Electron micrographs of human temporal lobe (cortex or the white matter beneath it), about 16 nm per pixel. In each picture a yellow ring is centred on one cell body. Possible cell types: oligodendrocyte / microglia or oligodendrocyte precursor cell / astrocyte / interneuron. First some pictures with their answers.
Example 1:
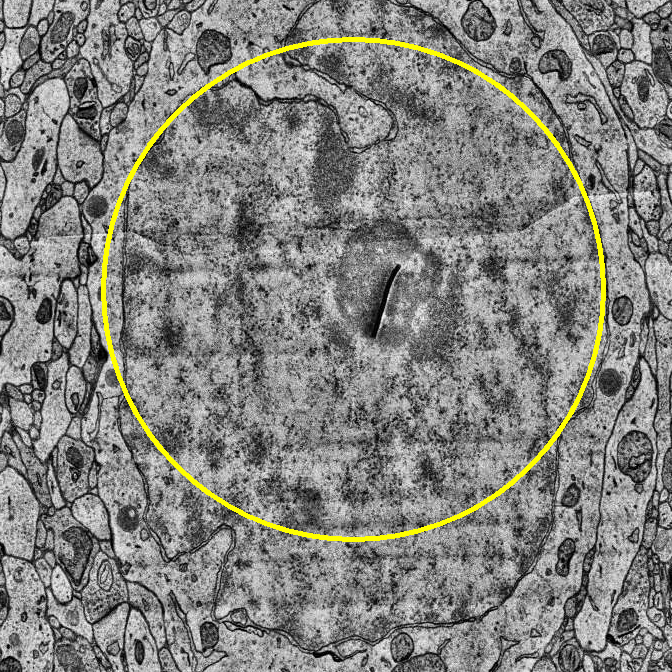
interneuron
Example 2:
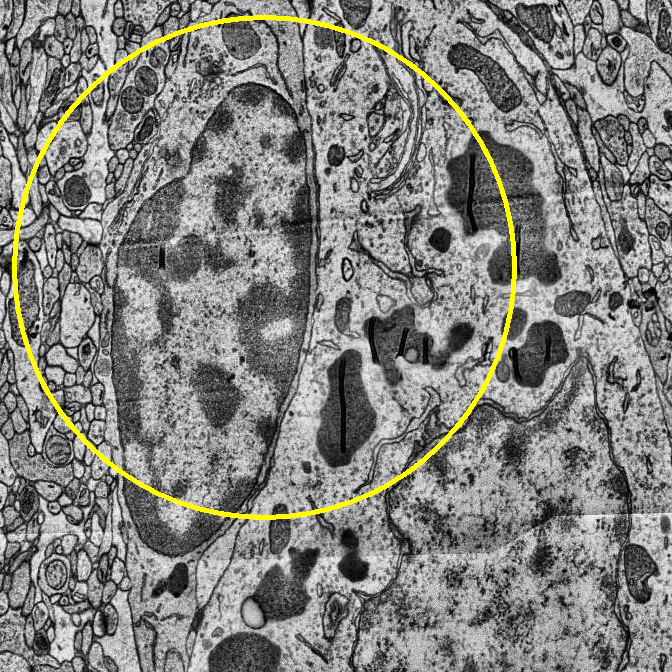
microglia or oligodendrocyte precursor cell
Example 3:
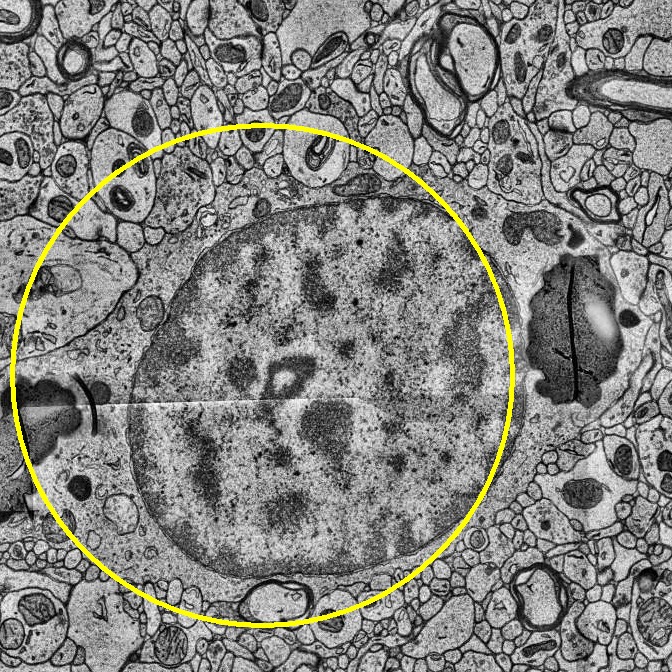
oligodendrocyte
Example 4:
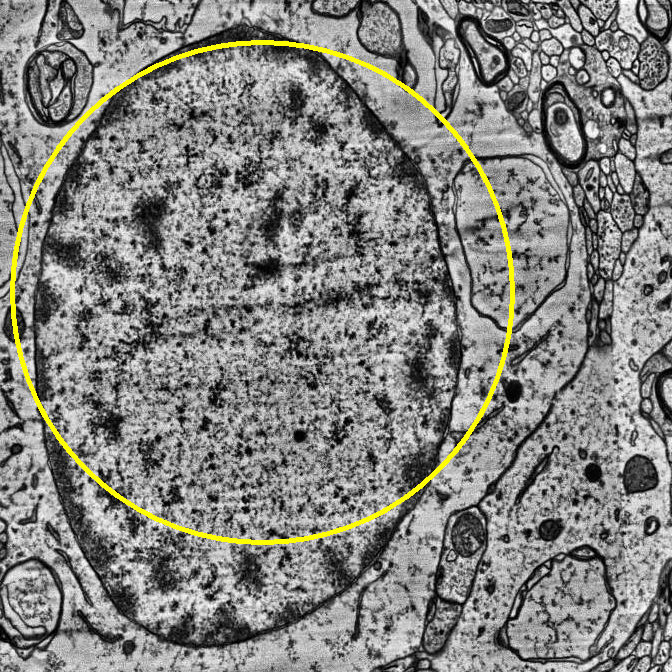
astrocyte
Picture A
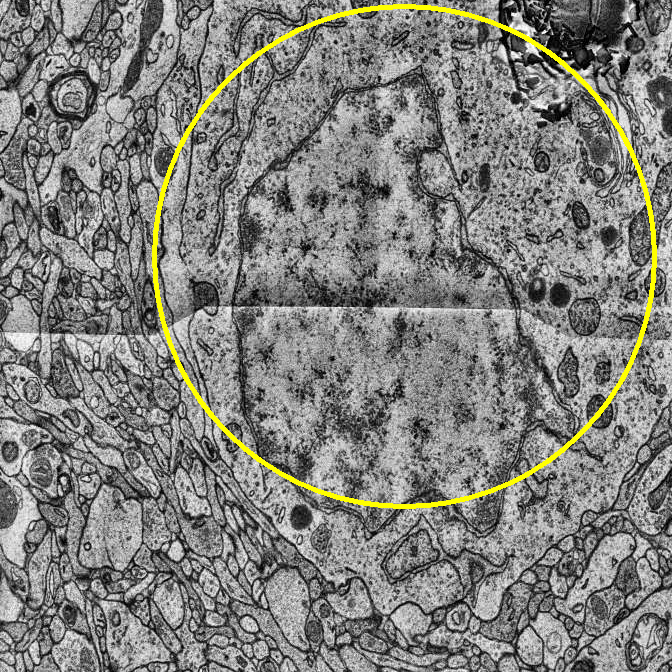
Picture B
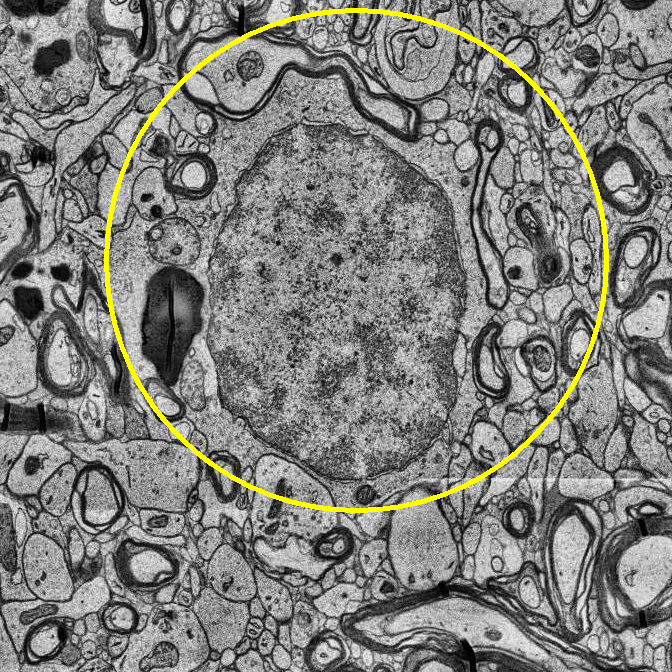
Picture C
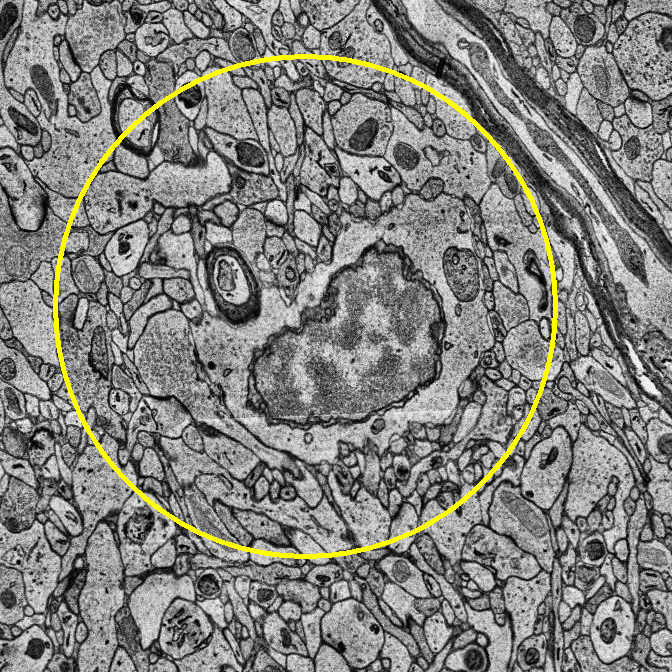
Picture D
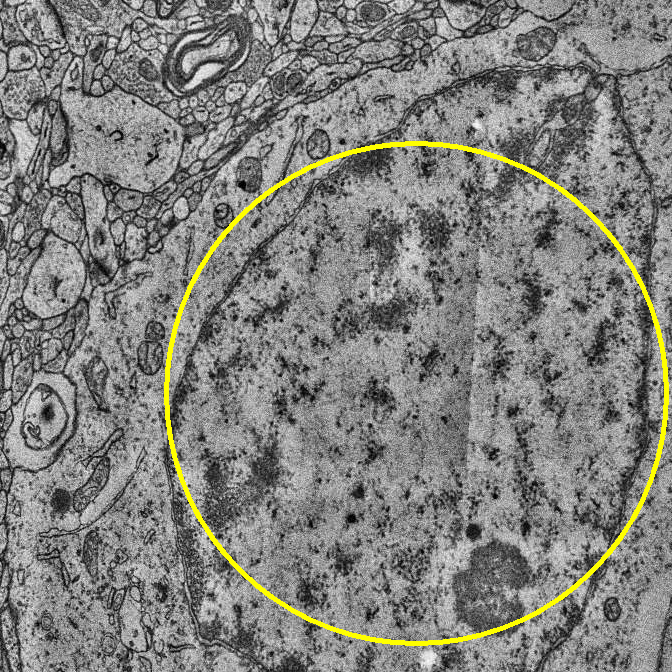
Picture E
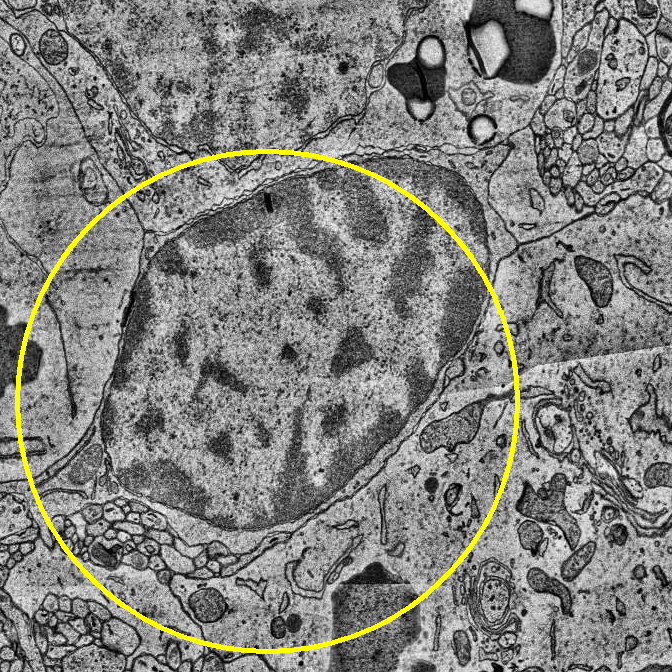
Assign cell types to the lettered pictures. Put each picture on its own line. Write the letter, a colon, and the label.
A: interneuron
B: oligodendrocyte
C: microglia or oligodendrocyte precursor cell
D: interneuron
E: microglia or oligodendrocyte precursor cell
